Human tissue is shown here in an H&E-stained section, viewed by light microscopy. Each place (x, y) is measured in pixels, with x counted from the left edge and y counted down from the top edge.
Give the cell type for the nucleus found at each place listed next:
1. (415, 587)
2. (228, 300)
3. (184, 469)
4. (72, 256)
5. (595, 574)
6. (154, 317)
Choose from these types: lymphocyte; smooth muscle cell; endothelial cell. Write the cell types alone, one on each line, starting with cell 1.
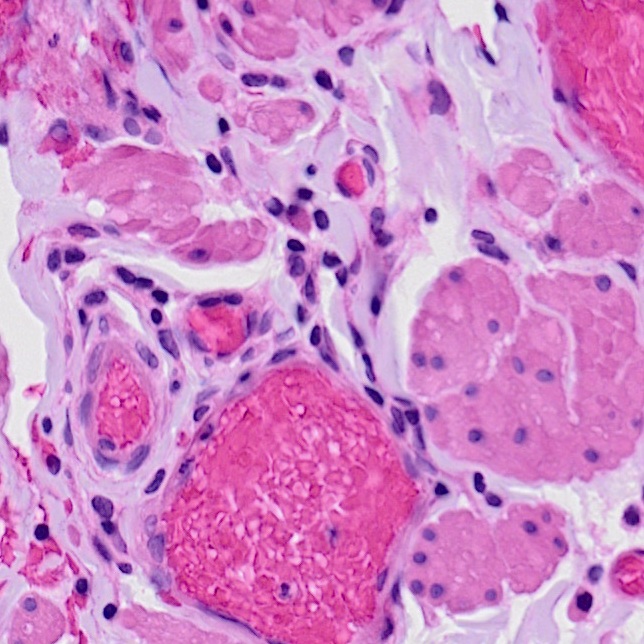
smooth muscle cell
endothelial cell
endothelial cell
lymphocyte
lymphocyte
lymphocyte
